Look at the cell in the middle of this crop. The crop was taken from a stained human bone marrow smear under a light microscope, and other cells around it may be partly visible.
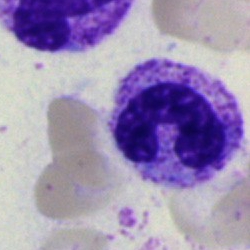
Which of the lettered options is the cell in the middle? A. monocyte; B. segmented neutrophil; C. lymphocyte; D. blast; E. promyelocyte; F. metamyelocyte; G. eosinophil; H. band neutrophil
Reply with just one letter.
H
